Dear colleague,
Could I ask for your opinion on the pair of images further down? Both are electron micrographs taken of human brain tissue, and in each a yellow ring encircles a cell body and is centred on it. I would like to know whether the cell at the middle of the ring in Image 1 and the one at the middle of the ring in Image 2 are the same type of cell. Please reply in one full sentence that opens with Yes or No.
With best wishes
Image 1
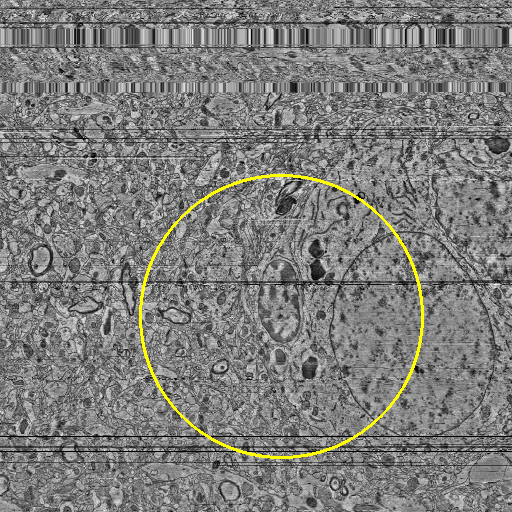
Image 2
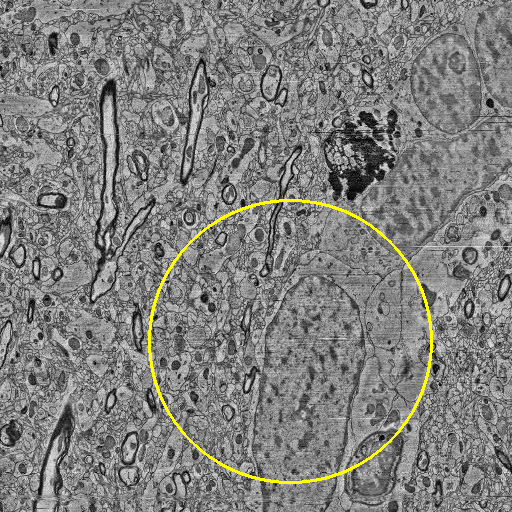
Yes, the cells at the ring centres in Image 1 and Image 2 are of one type.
